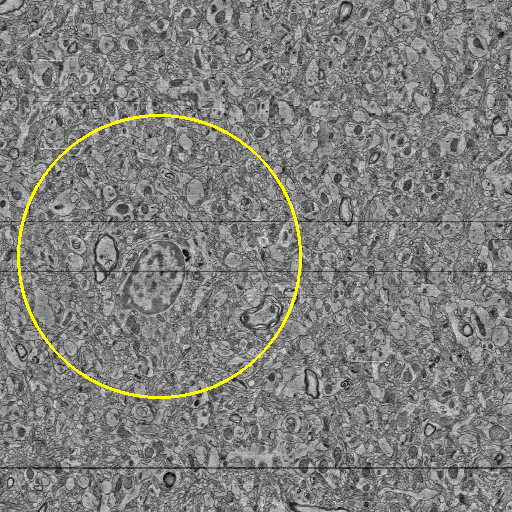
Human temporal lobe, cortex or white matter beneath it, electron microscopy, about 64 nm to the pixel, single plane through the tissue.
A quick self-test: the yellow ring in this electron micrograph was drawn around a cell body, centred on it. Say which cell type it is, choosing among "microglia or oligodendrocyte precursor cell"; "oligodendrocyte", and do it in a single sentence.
The yellow-ringed cell is a microglial cell or oligodendrocyte precursor cell.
